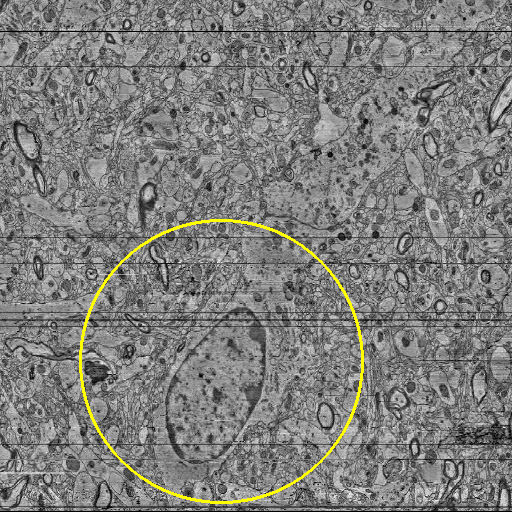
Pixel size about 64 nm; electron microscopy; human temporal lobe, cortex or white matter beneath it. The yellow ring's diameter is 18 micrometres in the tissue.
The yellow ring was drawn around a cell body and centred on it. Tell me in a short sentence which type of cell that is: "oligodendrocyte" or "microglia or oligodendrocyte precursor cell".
The cell at the ring's centre is a microglial cell or oligodendrocyte precursor cell.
